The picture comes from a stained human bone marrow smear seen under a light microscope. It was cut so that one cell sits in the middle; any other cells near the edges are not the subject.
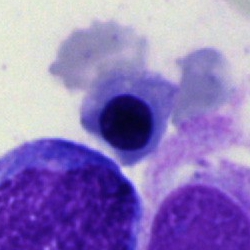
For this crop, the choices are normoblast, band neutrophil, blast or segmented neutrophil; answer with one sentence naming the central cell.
The cell in the exact centre of the crop is a normoblast.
